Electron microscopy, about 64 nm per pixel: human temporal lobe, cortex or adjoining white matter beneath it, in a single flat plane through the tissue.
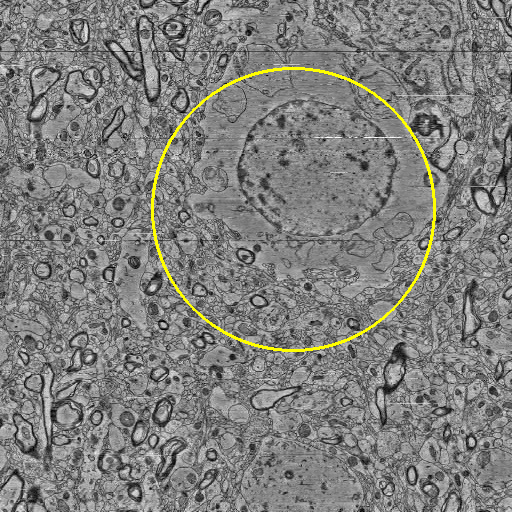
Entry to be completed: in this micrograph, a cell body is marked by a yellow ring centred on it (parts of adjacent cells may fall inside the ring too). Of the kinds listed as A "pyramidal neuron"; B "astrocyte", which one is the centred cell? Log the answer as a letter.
B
